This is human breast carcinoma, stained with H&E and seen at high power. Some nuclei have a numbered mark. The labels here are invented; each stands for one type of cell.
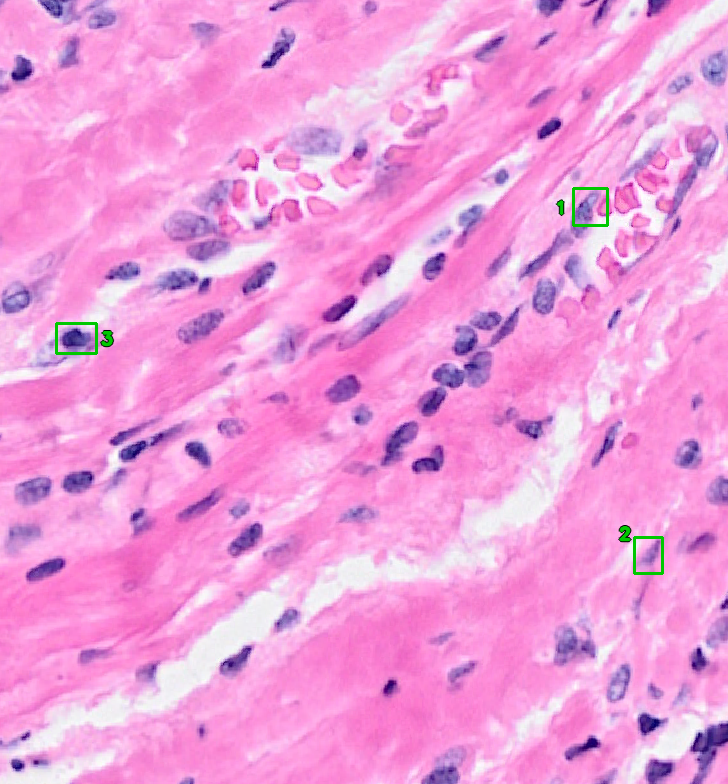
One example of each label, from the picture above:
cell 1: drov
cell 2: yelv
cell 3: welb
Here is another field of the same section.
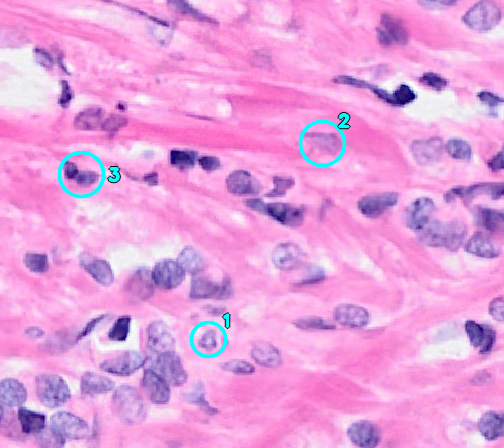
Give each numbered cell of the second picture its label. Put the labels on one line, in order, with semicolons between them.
drov; yelv; welb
